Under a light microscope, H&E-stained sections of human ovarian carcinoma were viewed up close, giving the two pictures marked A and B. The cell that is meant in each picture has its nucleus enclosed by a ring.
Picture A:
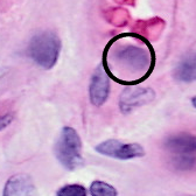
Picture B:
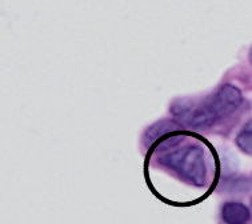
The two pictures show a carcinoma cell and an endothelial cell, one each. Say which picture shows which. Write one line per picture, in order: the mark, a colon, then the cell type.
A: endothelial cell
B: carcinoma cell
